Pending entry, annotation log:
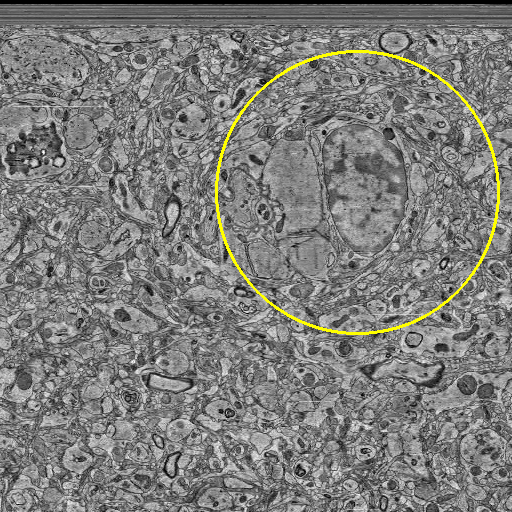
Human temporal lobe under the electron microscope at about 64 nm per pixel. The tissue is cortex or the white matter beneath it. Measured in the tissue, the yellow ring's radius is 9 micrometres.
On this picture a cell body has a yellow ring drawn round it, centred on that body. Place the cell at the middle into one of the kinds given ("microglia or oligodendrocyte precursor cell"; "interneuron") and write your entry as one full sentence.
The cell body at the middle of the yellow ring belongs to a microglial cell or oligodendrocyte precursor cell.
